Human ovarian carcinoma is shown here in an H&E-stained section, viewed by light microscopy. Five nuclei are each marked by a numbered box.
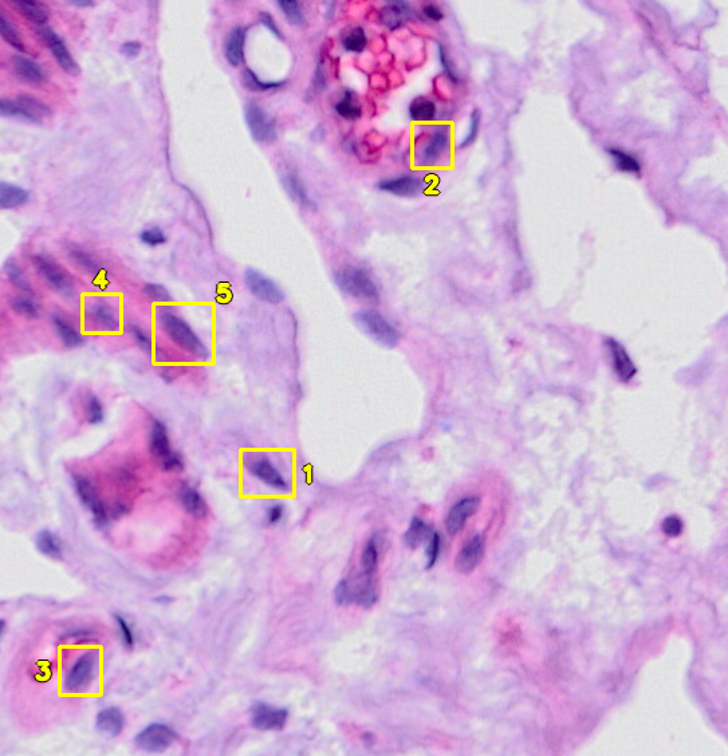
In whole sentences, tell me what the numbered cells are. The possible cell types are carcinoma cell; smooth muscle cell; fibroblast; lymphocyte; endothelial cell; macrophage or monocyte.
Cell 1 is a fibroblast. Cells 2 and 3 are endothelial cells. Cells 4 and 5 are smooth muscle cells.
